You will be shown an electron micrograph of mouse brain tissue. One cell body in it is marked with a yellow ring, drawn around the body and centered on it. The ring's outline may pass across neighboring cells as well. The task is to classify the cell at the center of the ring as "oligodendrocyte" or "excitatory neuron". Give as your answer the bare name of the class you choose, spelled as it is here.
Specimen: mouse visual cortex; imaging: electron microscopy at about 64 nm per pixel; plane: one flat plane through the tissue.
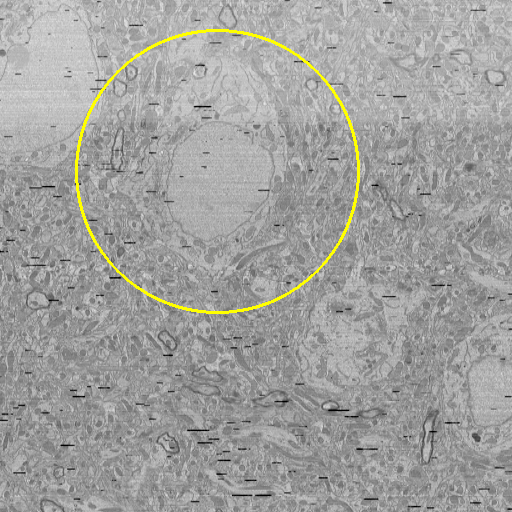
excitatory neuron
